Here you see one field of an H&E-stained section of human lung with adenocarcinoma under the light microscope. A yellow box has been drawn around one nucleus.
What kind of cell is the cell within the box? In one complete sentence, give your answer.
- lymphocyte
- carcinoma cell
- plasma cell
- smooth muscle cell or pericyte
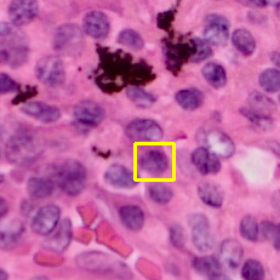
As classified here, the cell within the box is a plasma cell.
